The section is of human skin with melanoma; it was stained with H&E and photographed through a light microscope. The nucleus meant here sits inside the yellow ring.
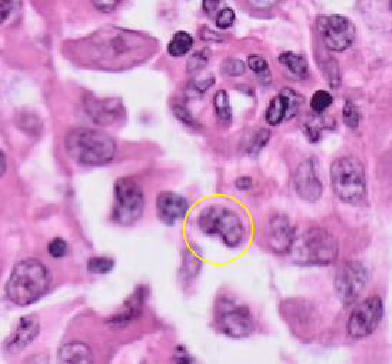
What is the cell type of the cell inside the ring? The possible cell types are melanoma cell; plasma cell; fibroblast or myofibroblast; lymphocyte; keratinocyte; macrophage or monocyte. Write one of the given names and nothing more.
melanoma cell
